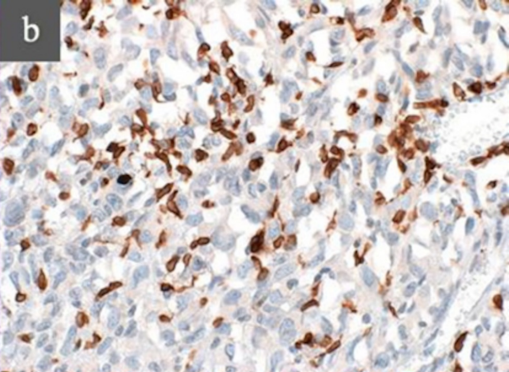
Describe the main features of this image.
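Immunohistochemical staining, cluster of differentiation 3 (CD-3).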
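Many small cells with dense brown staining are scattered singly and in loose groups. They lie between larger cells, which have pale blue oval nuclei and unstained cytoplasm. The brown-stained cells are small and irregular in outline, and several appear elongated.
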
